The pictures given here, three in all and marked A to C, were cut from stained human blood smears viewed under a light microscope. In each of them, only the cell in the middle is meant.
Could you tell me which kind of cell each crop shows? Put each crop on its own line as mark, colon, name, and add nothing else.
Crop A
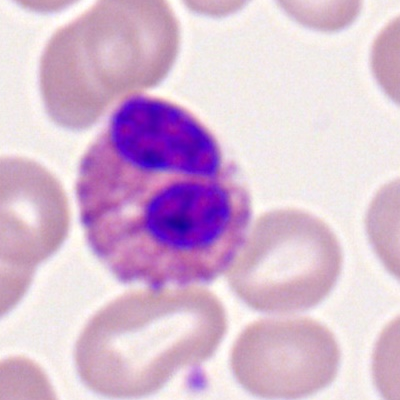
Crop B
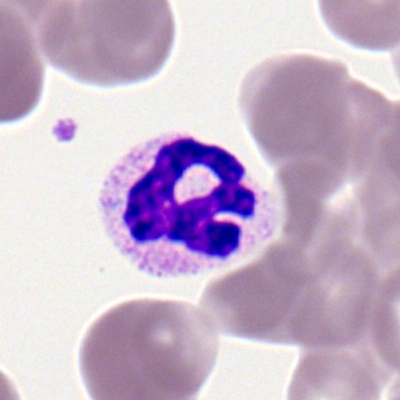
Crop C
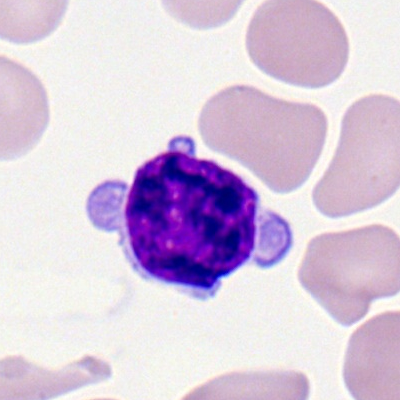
A: eosinophil
B: segmented neutrophil
C: lymphocyte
